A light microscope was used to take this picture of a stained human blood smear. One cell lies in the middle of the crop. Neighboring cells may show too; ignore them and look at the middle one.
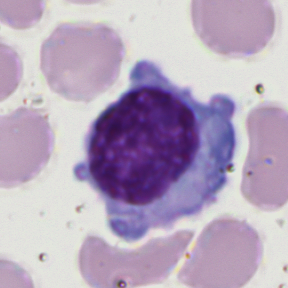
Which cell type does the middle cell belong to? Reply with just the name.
plasma cell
